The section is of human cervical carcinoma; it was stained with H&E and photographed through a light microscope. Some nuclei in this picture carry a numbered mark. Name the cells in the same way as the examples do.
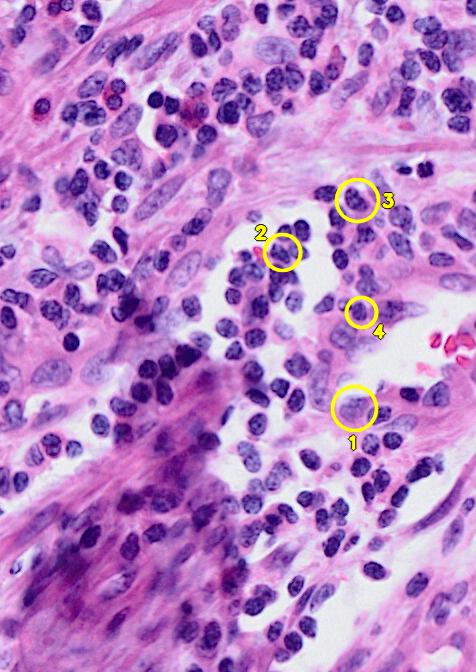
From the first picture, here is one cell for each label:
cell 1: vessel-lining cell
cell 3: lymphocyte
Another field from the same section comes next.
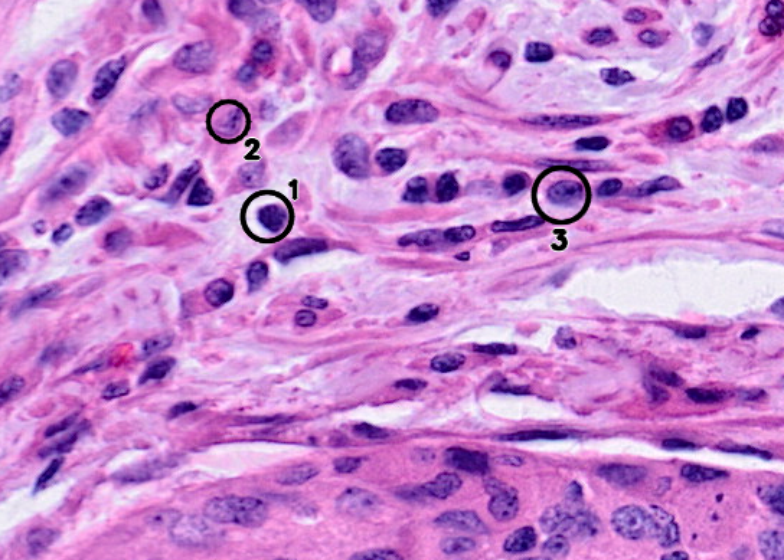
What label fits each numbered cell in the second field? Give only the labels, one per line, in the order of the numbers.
lymphocyte
vessel-lining cell
lymphocyte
